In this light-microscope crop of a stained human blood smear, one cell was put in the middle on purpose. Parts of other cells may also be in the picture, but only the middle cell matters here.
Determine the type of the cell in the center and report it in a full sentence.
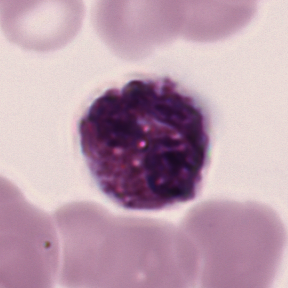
The cell found in the middle of this crop is an eosinophil.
